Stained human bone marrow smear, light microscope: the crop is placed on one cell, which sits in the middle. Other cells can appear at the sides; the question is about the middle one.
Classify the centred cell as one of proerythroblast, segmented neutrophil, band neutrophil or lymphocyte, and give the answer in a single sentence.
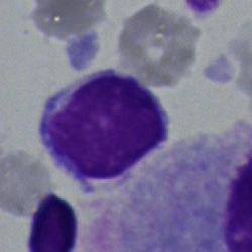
In the central position of this crop, the cell is a lymphocyte.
